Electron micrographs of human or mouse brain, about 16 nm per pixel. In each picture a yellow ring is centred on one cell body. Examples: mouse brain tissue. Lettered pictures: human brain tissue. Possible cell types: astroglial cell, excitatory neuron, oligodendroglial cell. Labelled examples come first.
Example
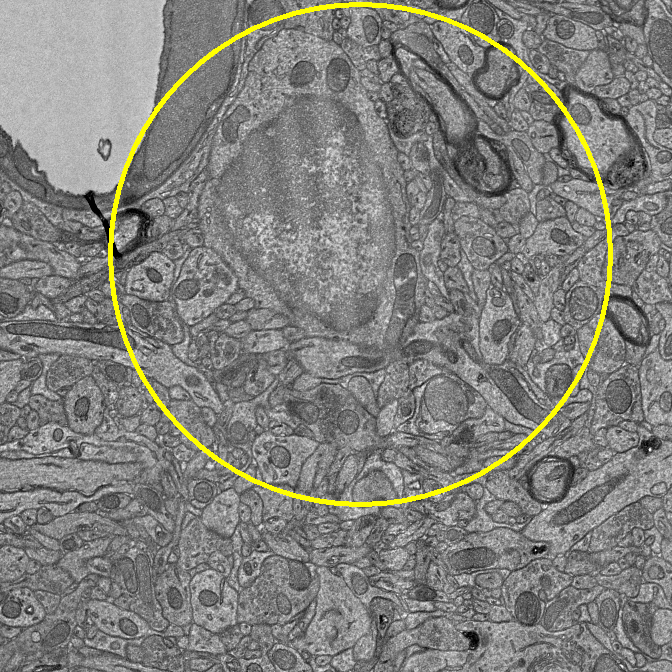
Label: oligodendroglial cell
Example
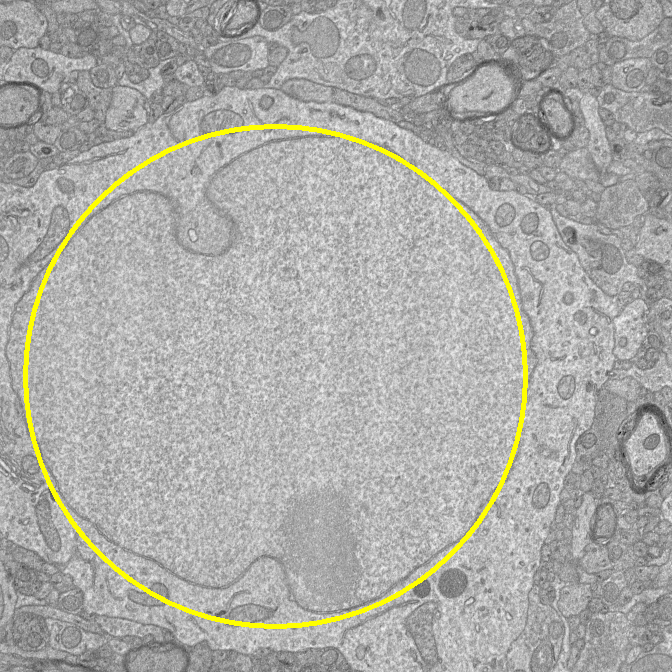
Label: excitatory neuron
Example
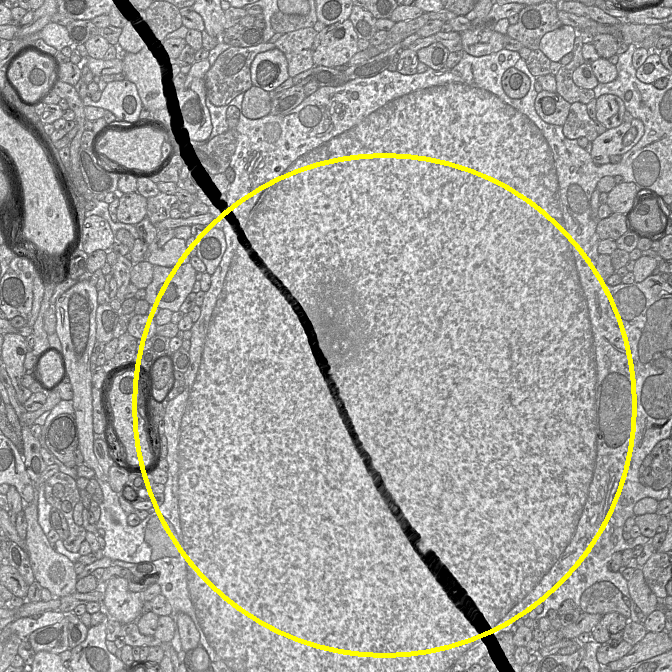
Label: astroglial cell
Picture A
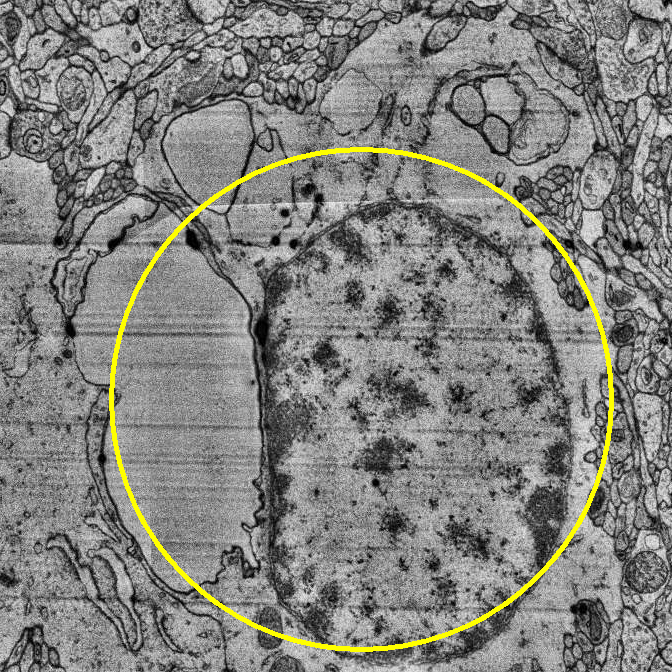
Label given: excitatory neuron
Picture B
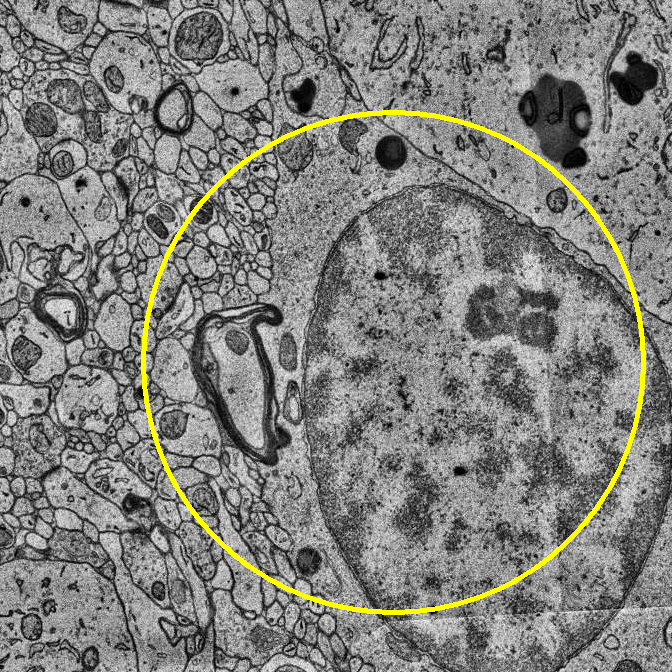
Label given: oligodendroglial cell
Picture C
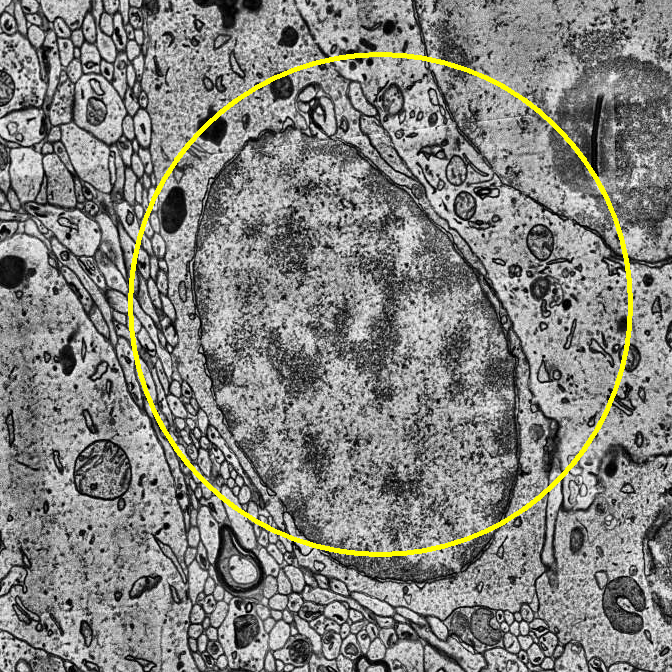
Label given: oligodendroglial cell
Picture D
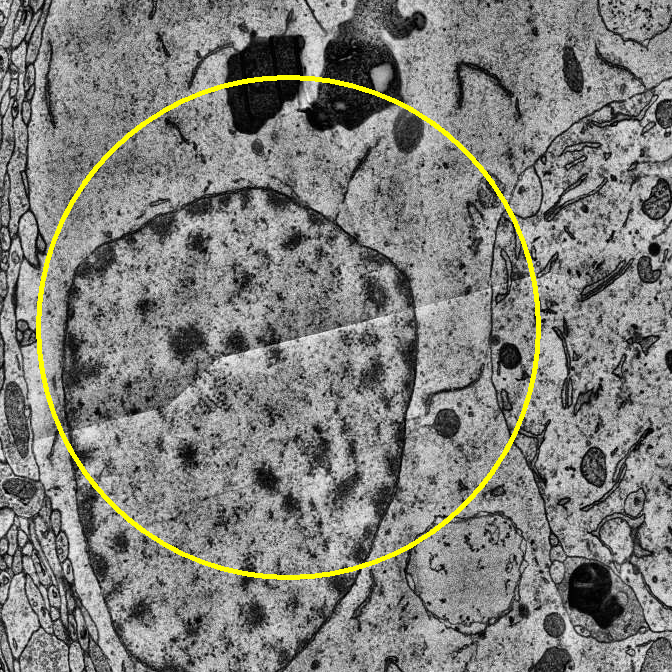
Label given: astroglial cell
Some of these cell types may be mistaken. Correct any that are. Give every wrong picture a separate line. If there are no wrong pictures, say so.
A is labelled excitatory neuron; correct label: astroglial cell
